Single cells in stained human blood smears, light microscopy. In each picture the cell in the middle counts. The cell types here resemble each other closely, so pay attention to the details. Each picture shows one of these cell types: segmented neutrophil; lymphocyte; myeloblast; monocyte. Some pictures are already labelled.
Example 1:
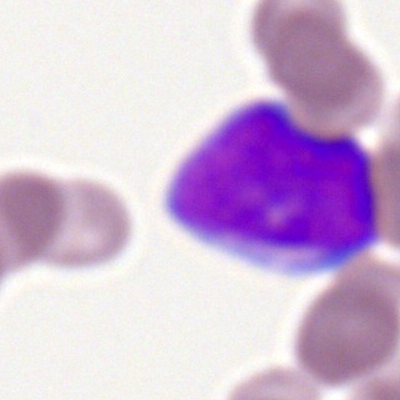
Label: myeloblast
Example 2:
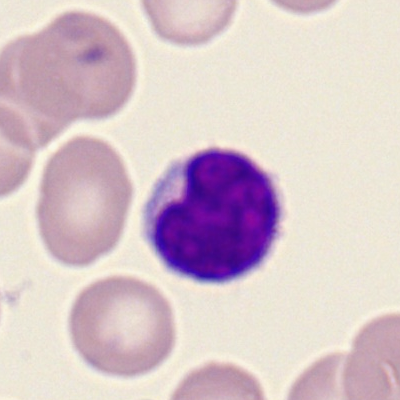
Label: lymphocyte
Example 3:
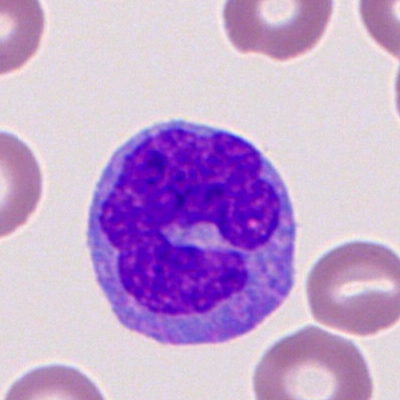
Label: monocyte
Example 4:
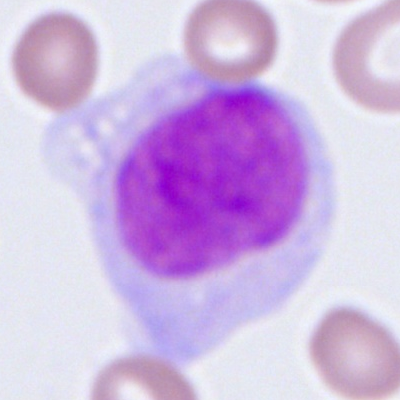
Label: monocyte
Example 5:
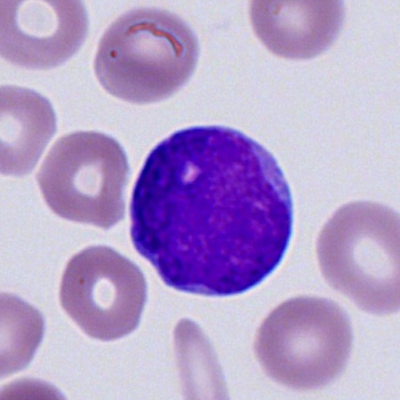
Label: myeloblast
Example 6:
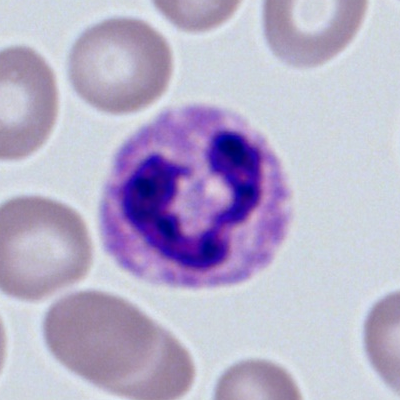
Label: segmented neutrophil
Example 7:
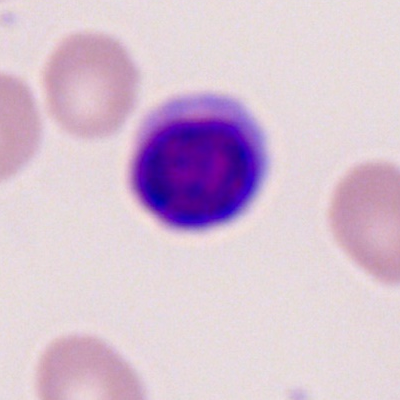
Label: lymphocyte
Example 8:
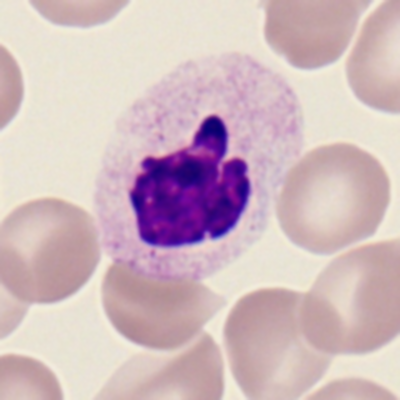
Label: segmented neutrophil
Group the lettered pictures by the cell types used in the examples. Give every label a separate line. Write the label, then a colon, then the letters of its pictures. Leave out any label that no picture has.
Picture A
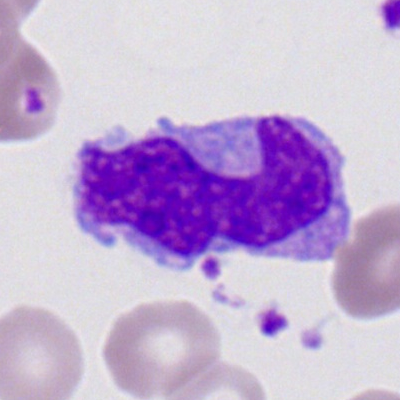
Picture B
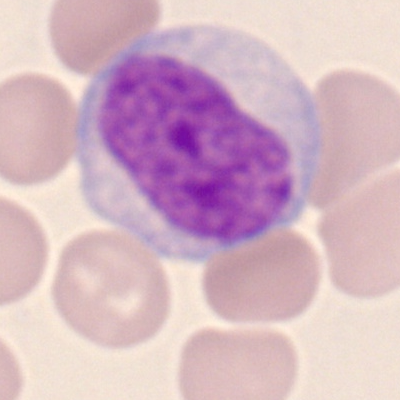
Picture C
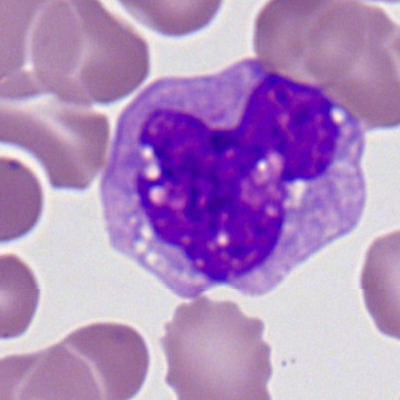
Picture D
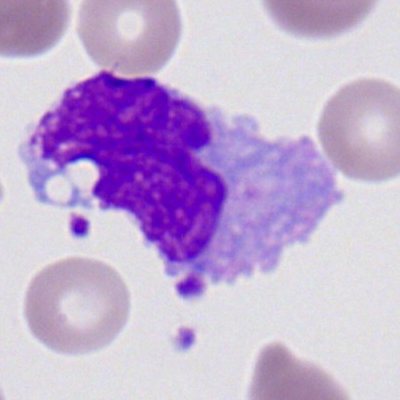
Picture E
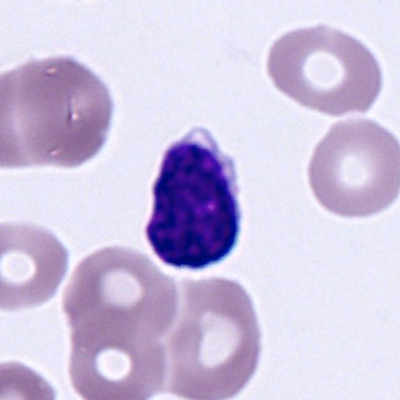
lymphocyte: E
monocyte: A, B, C, D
